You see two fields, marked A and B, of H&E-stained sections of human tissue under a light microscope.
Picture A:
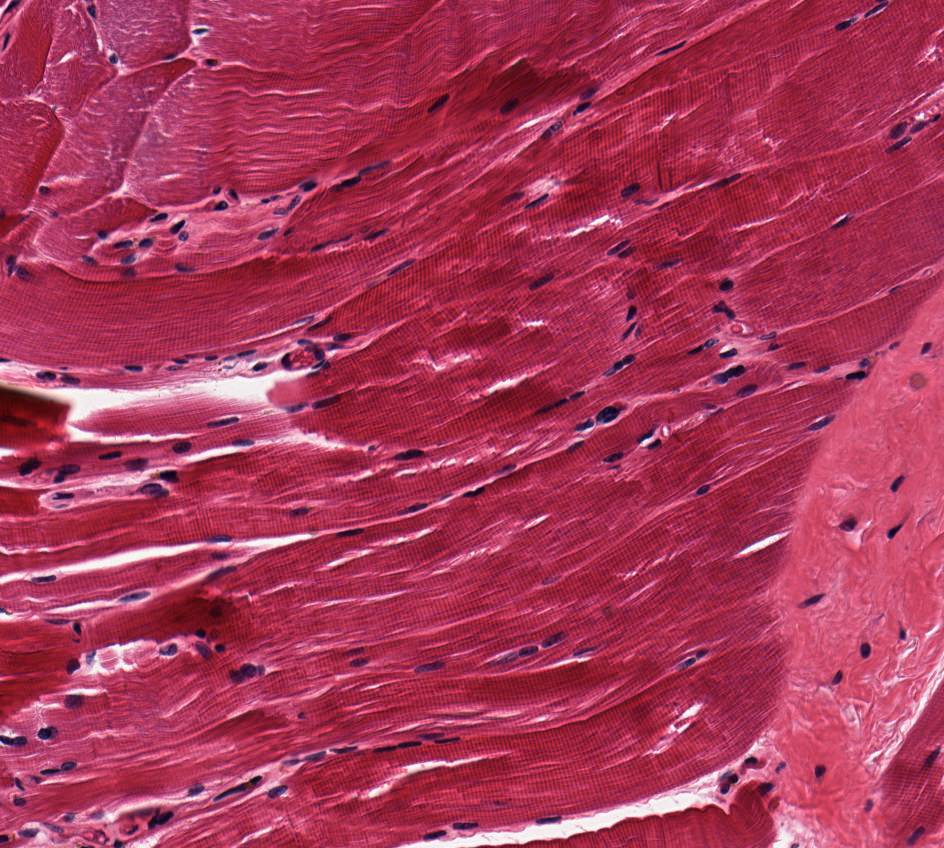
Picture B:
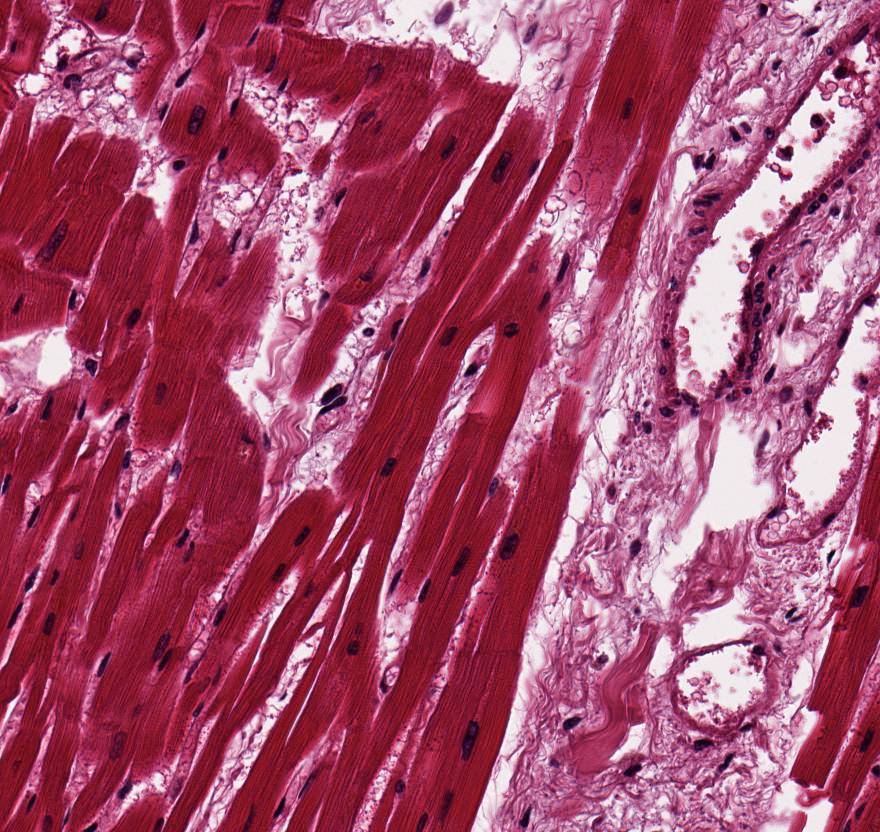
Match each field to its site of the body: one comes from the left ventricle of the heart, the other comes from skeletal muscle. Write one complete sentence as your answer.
Picture B comes from the left ventricle of the heart, while picture A comes from skeletal muscle.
